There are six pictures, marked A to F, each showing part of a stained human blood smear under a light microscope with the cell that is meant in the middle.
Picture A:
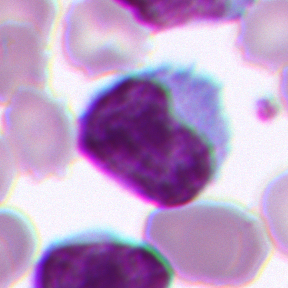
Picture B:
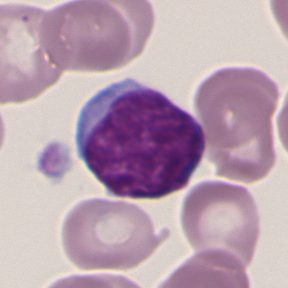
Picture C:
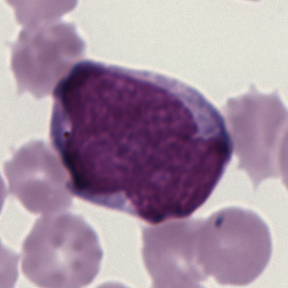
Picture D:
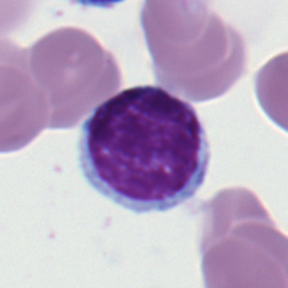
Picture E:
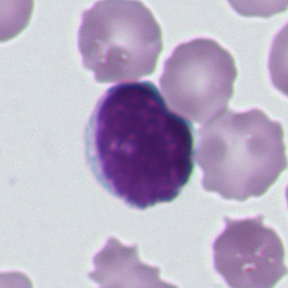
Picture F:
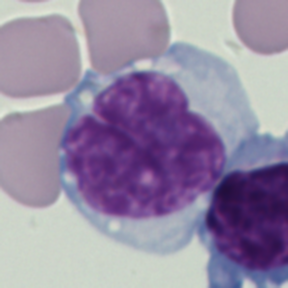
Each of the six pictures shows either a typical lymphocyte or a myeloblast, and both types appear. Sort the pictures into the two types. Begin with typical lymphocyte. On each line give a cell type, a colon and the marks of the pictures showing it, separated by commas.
typical lymphocyte: A, B, D, E
myeloblast: C, F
